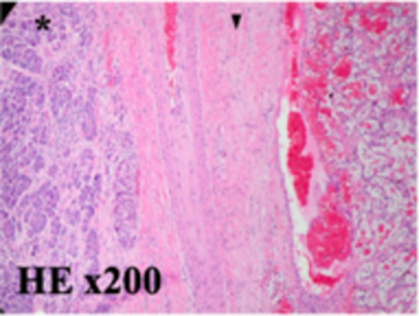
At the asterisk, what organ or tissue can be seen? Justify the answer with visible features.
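At the left, densely purple, basophilic glandular tissue arranged in small lobules. It is separated from the pale tumor on the right by a broad pink fibrous band. The answer: normal-appearing pancreatic tissue.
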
